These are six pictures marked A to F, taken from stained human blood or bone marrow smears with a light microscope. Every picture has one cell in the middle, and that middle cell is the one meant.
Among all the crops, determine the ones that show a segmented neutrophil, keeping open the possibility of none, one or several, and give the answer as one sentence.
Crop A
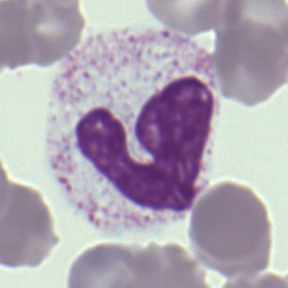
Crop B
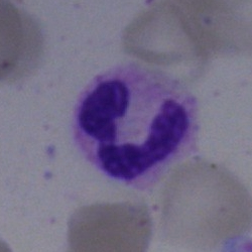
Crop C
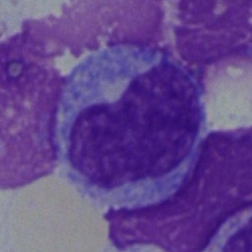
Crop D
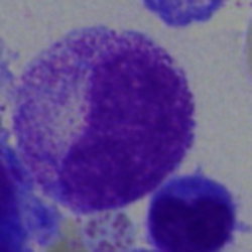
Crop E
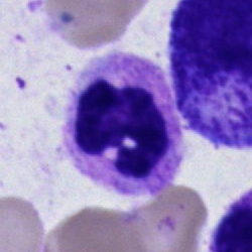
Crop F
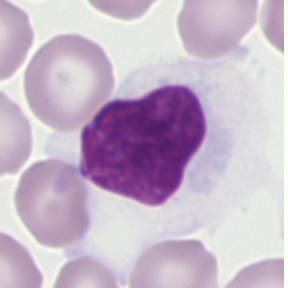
The target cells in crops A, B and E are segmented neutrophils.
